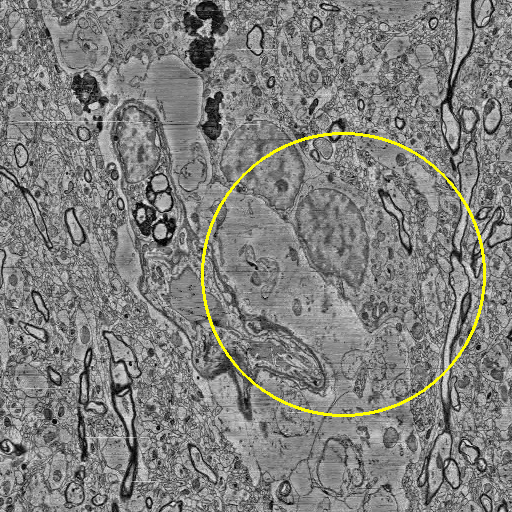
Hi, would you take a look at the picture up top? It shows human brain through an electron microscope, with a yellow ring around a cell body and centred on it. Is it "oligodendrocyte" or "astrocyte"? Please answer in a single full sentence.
The best fit for the cell in the middle of the ring is an oligodendrocyte, I reckon.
